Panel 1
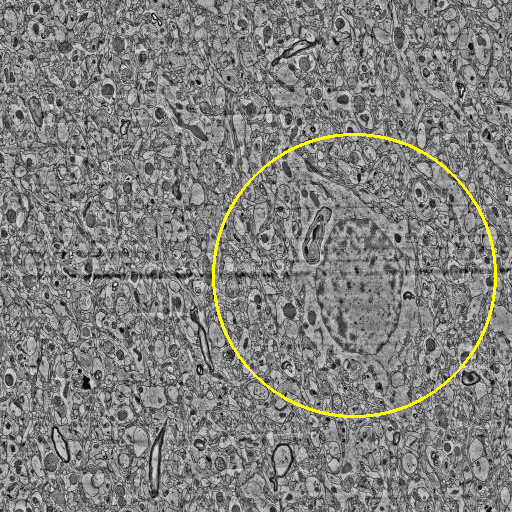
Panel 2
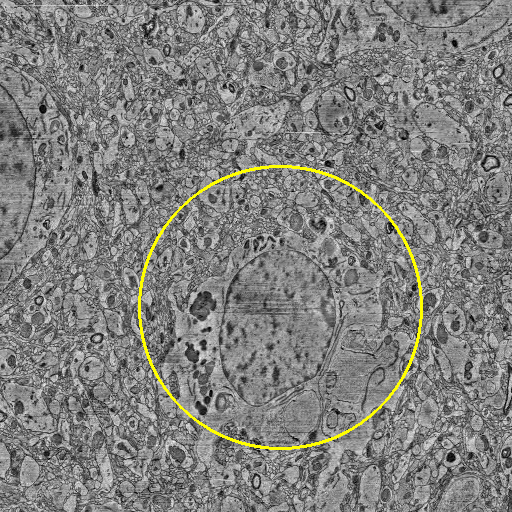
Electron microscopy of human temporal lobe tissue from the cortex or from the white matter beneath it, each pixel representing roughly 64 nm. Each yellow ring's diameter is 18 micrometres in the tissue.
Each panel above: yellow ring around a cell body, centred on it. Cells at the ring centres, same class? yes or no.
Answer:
yes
